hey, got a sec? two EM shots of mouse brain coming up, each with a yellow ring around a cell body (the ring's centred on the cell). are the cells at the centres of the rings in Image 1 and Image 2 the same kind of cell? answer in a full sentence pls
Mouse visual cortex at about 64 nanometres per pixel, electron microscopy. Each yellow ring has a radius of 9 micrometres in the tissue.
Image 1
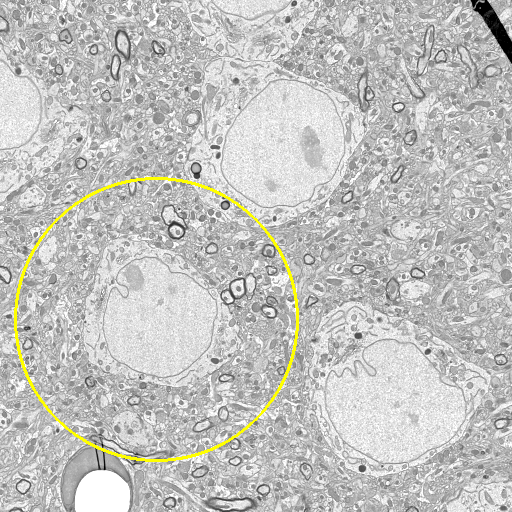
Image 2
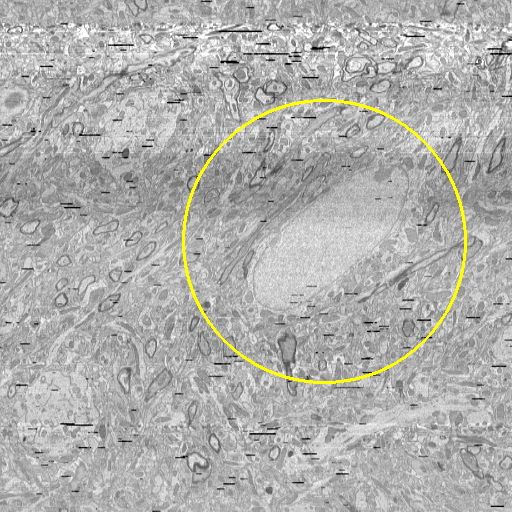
No, they are two kinds of cell.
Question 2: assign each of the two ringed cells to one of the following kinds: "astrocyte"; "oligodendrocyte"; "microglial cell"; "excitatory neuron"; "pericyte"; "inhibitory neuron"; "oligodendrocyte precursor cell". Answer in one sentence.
The two cells are an excitatory neuron in the first picture and an astrocyte in the second.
